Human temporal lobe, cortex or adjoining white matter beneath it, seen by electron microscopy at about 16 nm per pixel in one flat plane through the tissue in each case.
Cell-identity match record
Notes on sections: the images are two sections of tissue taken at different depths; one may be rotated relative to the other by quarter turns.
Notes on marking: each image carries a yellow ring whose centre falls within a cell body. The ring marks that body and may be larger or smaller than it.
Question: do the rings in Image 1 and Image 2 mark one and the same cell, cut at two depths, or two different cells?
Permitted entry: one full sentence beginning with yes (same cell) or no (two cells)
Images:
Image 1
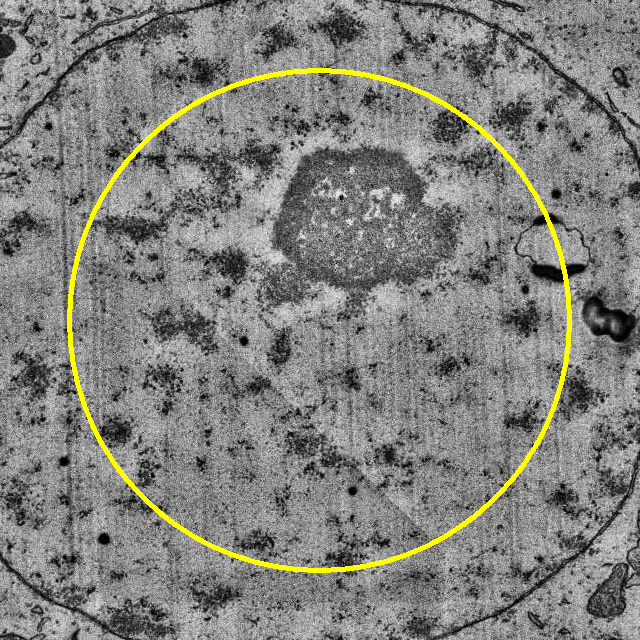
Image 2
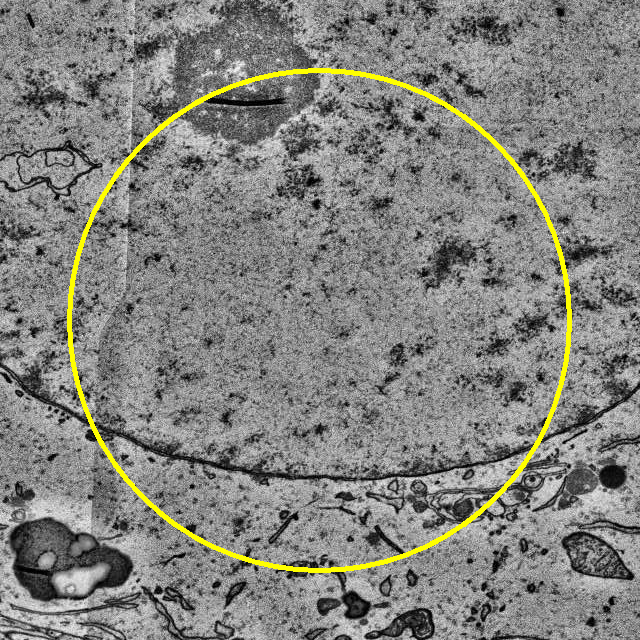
No, the two rings indicate two different cells, not one.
